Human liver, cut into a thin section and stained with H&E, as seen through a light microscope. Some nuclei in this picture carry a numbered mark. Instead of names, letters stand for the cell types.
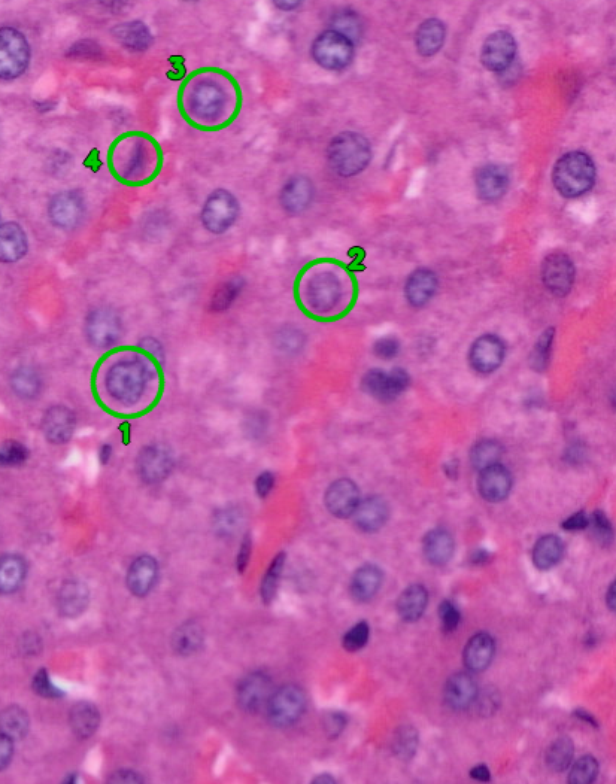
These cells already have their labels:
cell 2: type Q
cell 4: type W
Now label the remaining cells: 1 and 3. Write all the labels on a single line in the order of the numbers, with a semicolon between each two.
type Q; type Q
